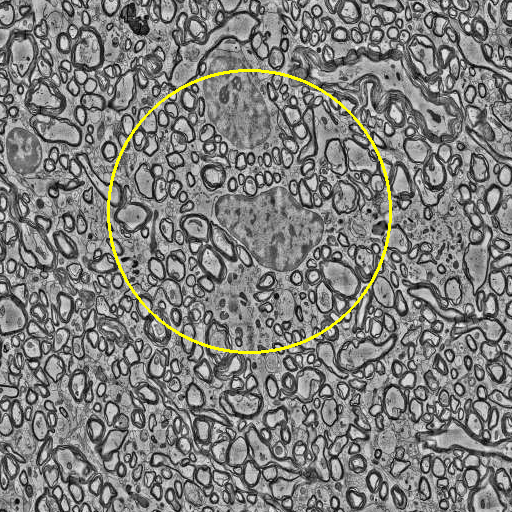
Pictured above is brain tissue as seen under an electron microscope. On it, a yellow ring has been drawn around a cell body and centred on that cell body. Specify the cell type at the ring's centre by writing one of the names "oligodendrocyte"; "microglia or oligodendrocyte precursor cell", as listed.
microglia or oligodendrocyte precursor cell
